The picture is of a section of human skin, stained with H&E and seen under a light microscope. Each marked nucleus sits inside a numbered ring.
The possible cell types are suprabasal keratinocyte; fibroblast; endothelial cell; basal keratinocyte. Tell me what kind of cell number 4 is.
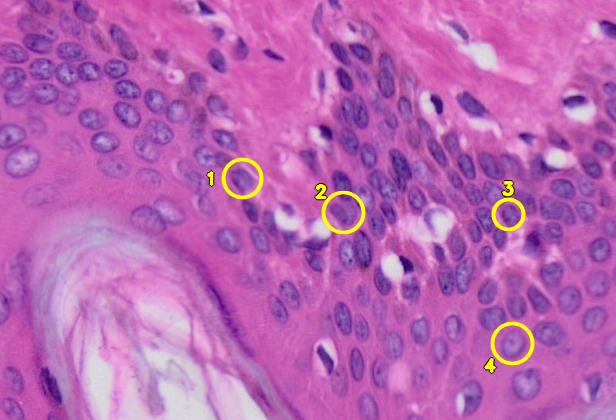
suprabasal keratinocyte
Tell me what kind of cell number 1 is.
basal keratinocyte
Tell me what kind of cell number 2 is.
basal keratinocyte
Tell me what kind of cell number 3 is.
basal keratinocyte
